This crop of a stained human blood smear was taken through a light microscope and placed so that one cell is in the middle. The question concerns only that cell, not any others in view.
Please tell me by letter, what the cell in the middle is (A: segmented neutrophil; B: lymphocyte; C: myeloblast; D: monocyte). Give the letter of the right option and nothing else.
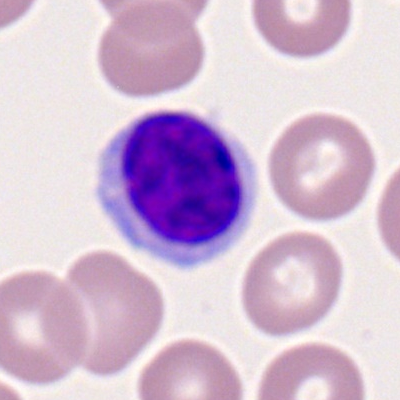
B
